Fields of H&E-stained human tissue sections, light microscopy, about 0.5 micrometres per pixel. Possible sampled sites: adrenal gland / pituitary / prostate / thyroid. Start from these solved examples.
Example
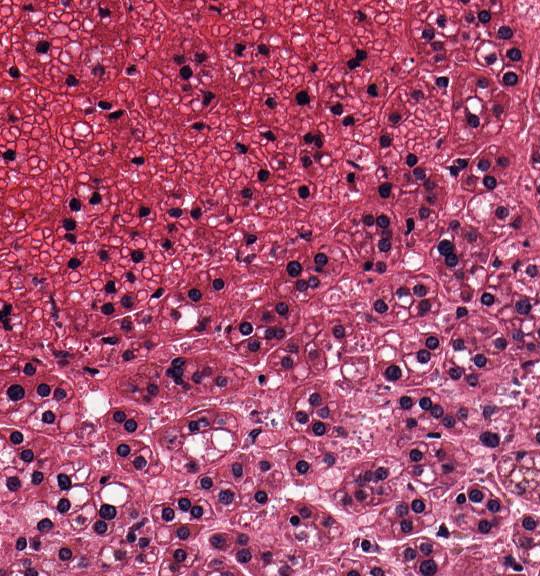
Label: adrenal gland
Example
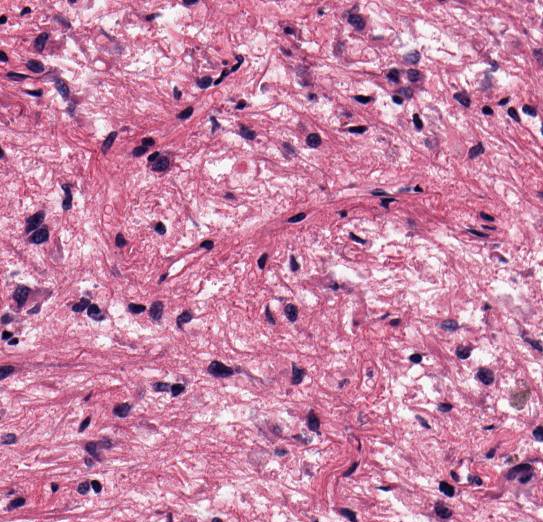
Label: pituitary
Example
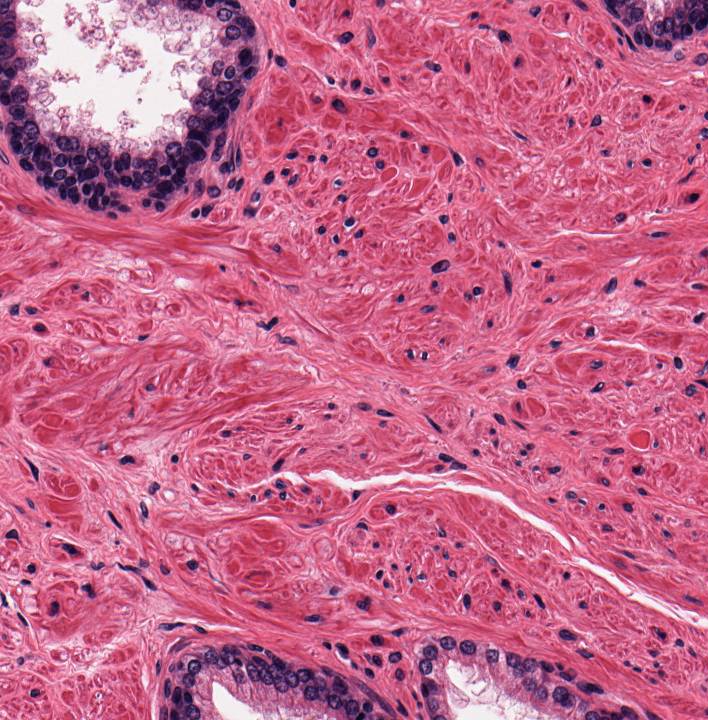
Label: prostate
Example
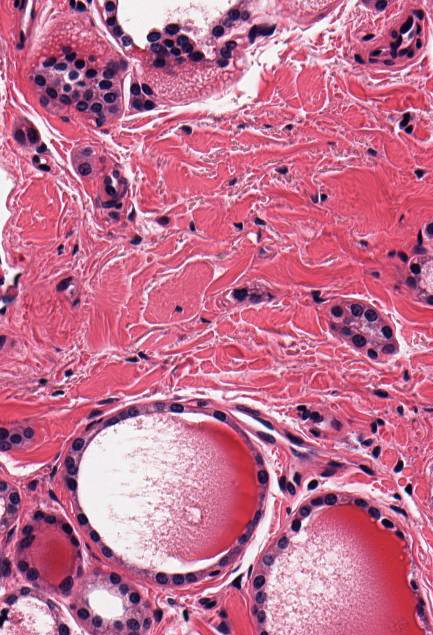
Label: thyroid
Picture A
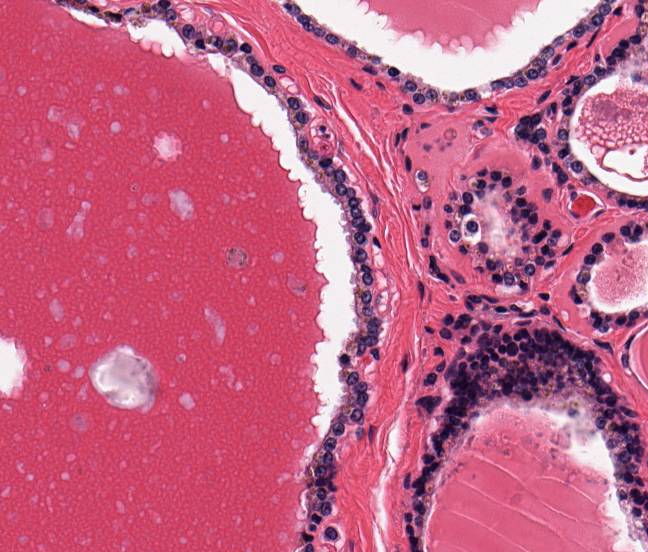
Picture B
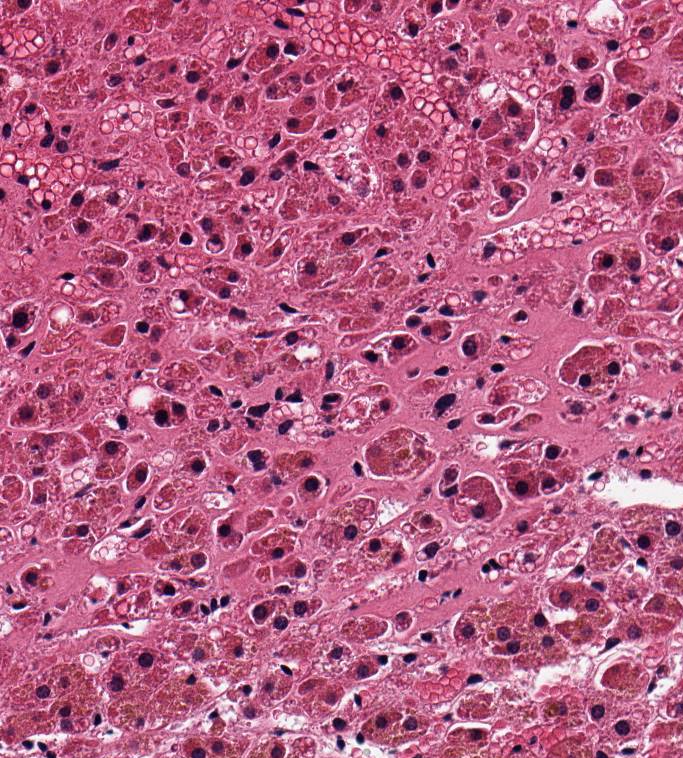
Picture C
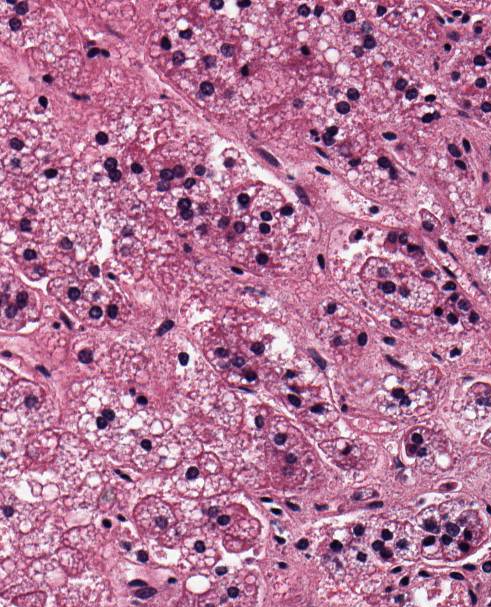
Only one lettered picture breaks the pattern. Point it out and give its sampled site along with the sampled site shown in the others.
Exception: A, showing thyroid. Remaining pictures: adrenal gland.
